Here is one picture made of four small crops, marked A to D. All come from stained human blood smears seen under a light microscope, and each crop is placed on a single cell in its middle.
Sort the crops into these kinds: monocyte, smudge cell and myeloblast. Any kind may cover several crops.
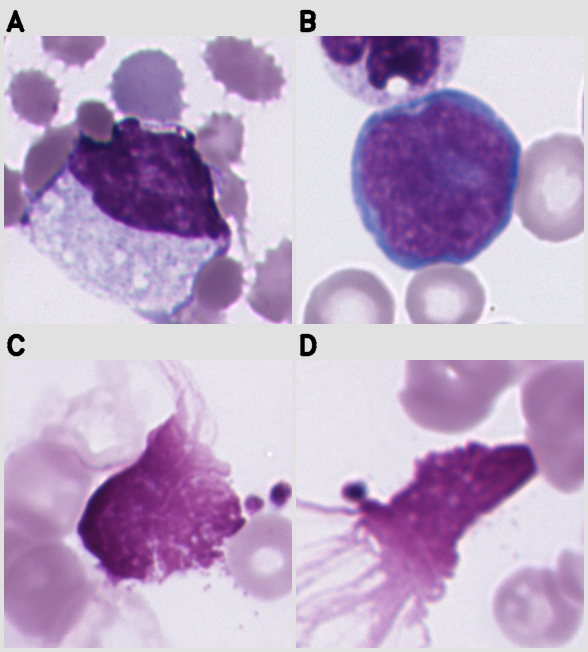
A: monocyte
B: myeloblast
C: smudge cell
D: smudge cell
